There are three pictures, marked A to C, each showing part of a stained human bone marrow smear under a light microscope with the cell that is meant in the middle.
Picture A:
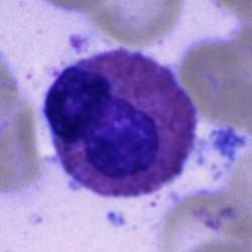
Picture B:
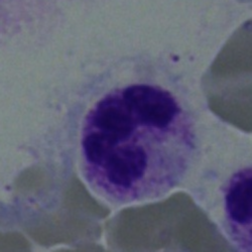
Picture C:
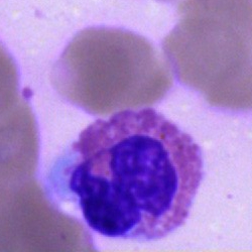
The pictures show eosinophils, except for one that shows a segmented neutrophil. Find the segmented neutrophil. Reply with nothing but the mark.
B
